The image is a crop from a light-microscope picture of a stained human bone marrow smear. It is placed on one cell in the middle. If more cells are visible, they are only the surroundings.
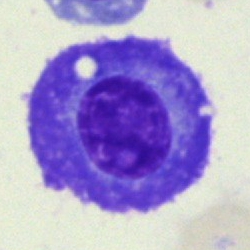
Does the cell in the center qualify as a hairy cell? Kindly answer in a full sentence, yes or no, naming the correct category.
No, the cell located centrally is a plasma cell rather than a hairy cell.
